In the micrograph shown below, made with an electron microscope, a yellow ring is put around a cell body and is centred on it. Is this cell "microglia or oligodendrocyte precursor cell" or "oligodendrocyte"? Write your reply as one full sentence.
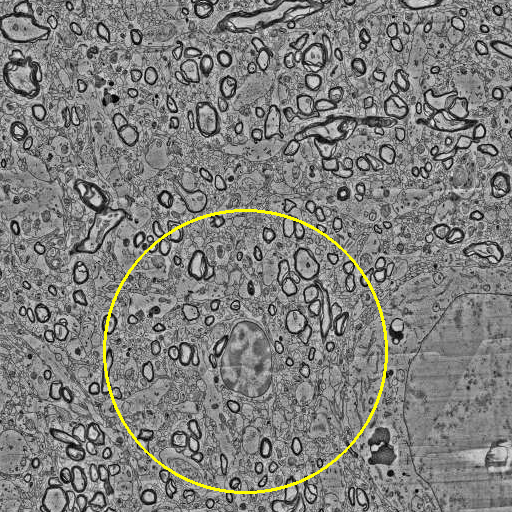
In the micrograph, a microglial cell or oligodendrocyte precursor cell is the cell at the centre of the yellow ring.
